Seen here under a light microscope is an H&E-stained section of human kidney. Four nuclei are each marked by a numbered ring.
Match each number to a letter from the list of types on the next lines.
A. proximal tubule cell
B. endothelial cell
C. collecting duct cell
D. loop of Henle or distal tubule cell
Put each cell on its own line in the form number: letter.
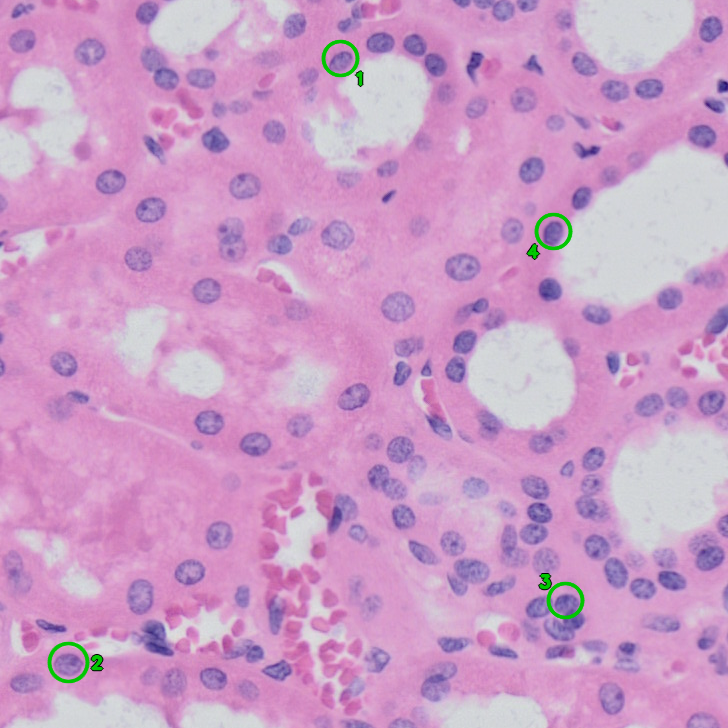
1: D
2: A
3: C
4: D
